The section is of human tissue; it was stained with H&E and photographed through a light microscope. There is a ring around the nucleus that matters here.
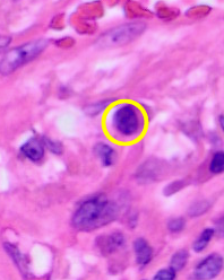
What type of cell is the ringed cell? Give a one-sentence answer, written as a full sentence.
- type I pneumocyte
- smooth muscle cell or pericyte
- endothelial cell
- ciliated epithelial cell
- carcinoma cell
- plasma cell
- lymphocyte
As to its cell type, the ringed cell is a plasma cell.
